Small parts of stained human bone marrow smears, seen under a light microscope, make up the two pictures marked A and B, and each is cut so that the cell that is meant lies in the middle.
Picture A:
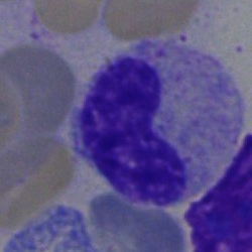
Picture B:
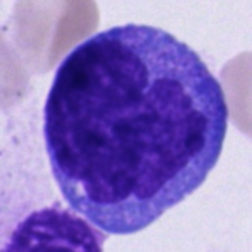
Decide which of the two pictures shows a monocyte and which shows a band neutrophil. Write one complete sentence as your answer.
Picture B shows a monocyte, while picture A shows a band neutrophil.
